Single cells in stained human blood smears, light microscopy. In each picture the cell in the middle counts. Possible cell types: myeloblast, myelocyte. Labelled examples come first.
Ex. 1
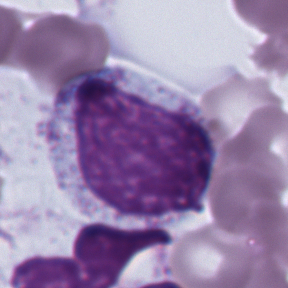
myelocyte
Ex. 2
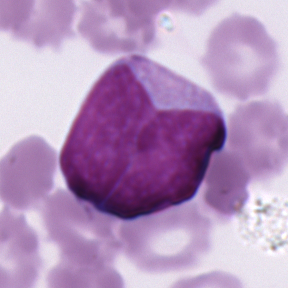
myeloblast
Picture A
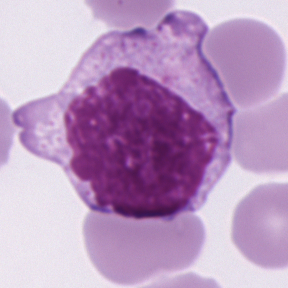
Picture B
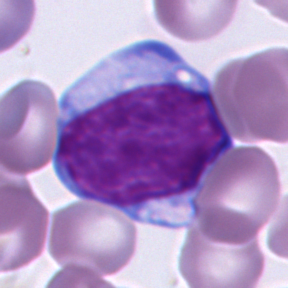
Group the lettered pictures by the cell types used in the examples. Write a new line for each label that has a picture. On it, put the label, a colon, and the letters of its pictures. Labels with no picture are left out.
myeloblast: B
myelocyte: A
